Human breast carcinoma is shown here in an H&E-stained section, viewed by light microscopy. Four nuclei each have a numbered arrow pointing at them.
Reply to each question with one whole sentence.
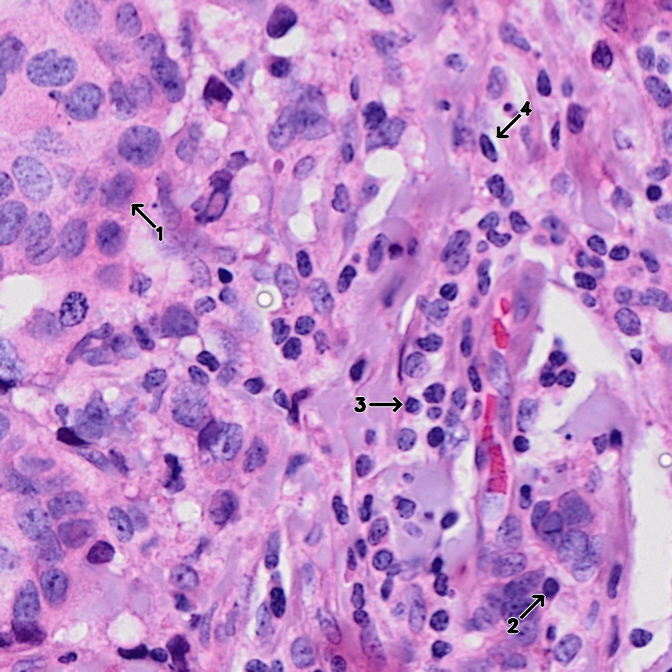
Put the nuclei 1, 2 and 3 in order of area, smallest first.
By area, going up from the smallest, they rank 3, 2, 1.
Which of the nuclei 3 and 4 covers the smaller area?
Nucleus 3 covers less area, with nucleus 4 about 2 times as large.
